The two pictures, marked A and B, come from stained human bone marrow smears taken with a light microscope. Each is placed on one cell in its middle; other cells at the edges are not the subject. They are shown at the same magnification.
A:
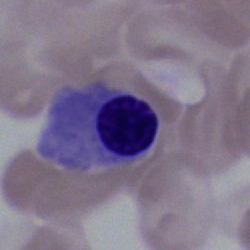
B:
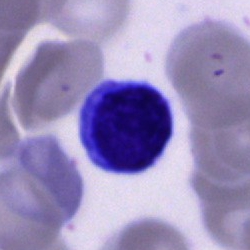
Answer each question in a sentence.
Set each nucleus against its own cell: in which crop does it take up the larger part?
The nucleus fills more of the cell in crop B than in crop A.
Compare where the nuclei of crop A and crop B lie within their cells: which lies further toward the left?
It is the nucleus in crop B that lies further toward the left of its cell.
